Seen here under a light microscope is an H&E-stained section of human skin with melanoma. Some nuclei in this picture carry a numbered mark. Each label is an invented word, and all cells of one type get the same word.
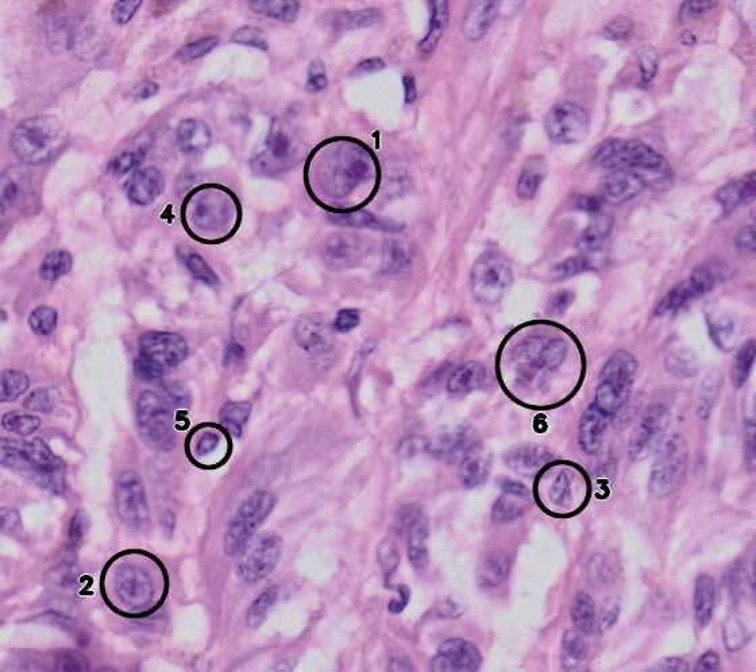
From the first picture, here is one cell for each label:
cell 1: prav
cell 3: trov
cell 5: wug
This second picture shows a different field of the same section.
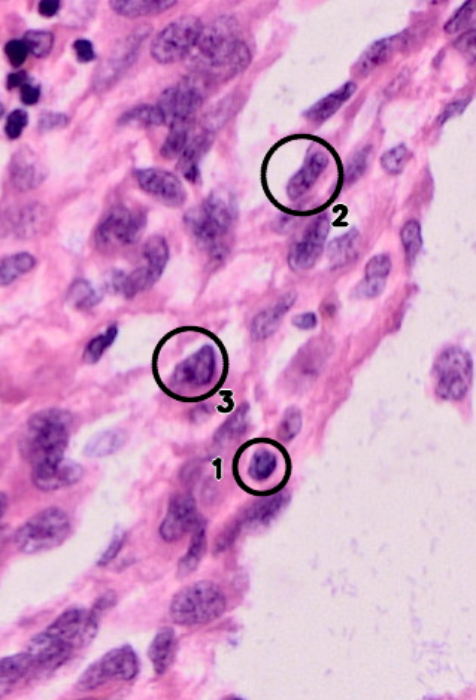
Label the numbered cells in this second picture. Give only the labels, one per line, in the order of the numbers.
wug
prav
prav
